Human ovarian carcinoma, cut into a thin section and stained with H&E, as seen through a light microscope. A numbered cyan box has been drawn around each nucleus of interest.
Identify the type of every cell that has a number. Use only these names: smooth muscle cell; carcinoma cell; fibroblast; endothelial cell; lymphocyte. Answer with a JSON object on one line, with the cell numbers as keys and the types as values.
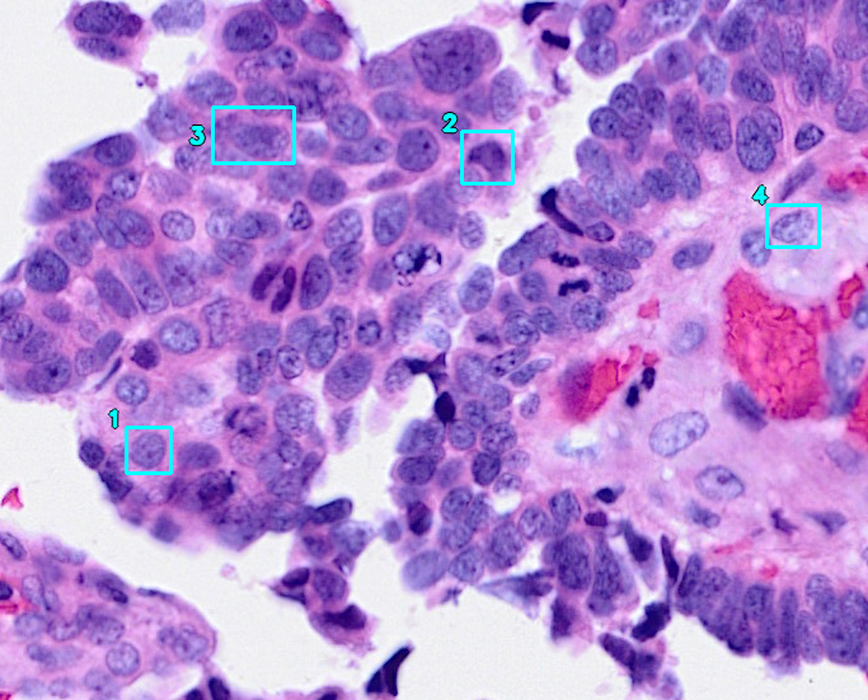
{"1": "carcinoma cell", "2": "carcinoma cell", "3": "carcinoma cell", "4": "fibroblast"}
